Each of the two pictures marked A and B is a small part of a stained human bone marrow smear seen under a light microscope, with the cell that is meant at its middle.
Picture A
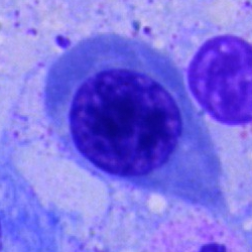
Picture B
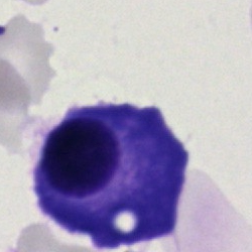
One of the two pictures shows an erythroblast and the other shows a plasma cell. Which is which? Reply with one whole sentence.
It is picture A that shows an erythroblast, and picture B that shows a plasma cell.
